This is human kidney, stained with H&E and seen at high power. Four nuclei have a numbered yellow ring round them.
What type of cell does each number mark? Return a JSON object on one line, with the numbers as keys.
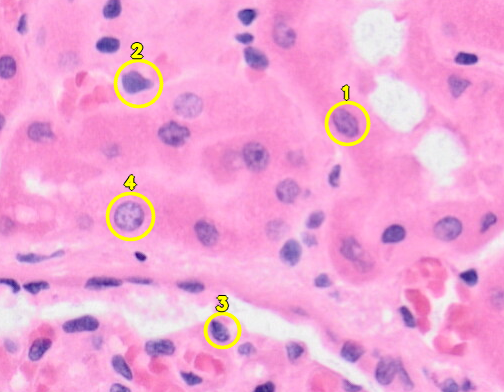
{"1": "proximal tubule cell", "2": "endothelial cell", "3": "endothelial cell", "4": "proximal tubule cell"}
